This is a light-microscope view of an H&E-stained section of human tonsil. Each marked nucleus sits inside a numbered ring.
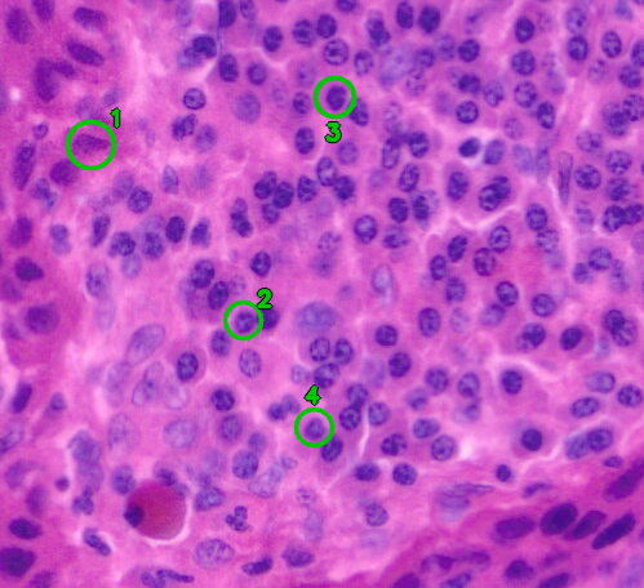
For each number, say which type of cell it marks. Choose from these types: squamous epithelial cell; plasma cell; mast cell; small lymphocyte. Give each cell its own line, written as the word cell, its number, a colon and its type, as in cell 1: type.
cell 1: squamous epithelial cell
cell 2: plasma cell
cell 3: plasma cell
cell 4: plasma cell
